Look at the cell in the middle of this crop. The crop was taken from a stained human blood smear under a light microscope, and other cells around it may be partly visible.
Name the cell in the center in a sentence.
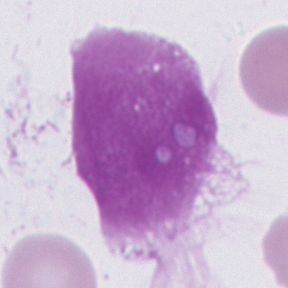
This crop's central cell is a smudge cell.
